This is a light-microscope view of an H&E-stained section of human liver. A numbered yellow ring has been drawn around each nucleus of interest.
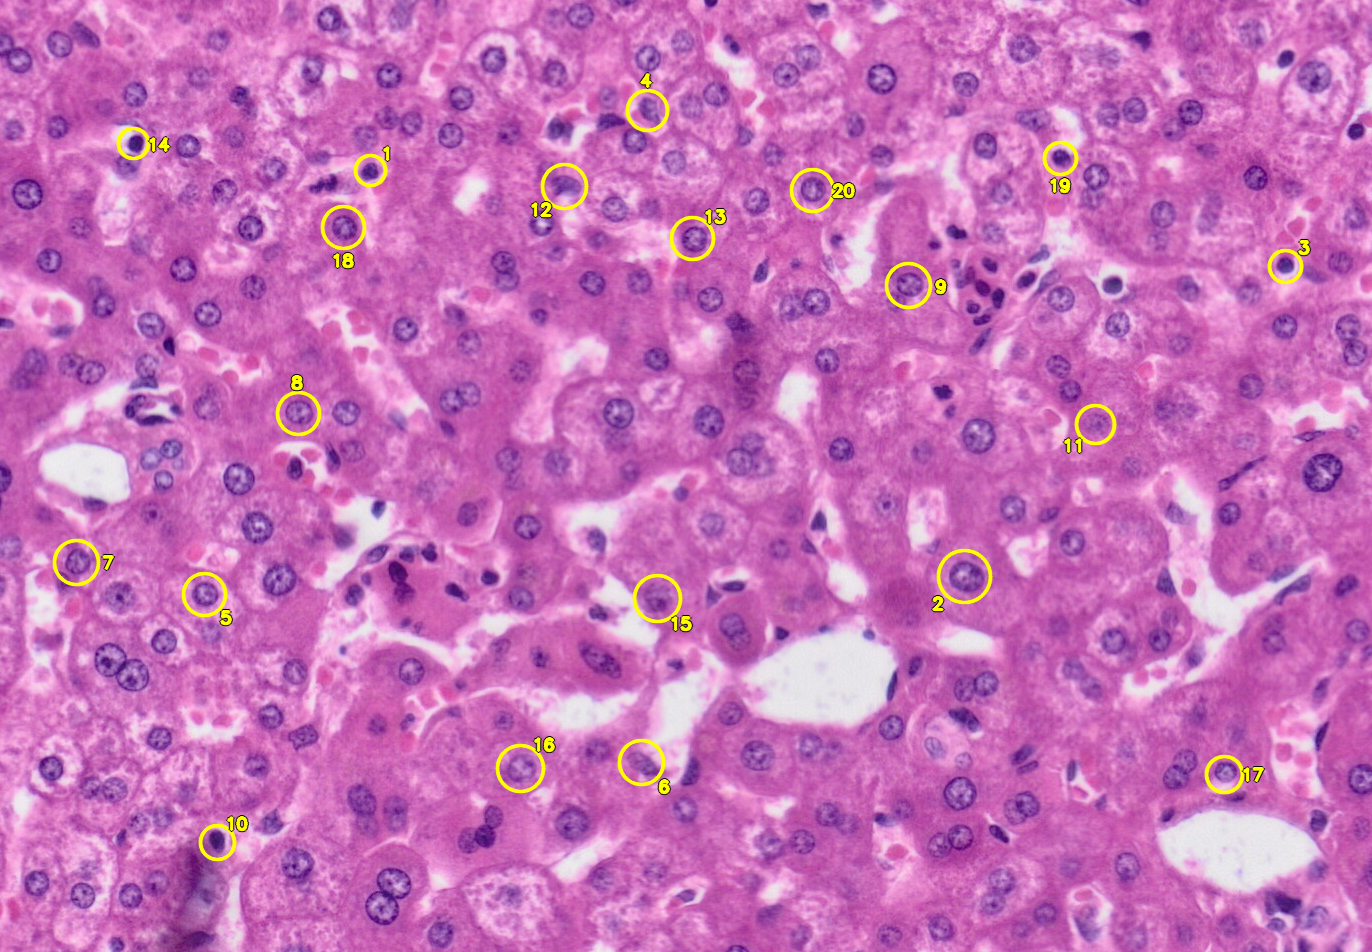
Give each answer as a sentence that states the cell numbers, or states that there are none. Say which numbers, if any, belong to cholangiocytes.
Unlike the other numbered cells, cell 17 is a cholangiocyte.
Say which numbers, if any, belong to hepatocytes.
The cells given the numbers 2, 5, 7, 8, 9, 11, 13, 15, 16, 18 and 20 are hepatocytes.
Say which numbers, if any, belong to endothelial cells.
Being an endothelial cell is true of cell 12 and of no other numbered cell.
